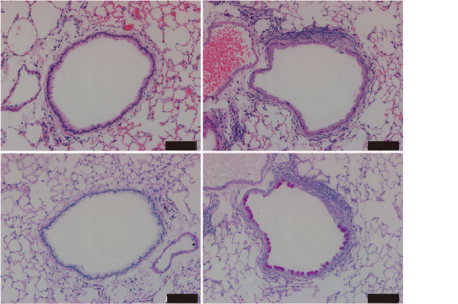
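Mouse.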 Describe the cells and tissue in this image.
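Four views of lung tissue show rounded bronchioles lined by epithelium and wrapped in a cuff of connective tissue with scattered dark nuclei, surrounded by thin-walled alveoli. A vessel full of red blood cells lies beside an airway in one upper pink view, and in one lower purple-stained view the airway lining carries bright magenta droplets along its surface.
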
